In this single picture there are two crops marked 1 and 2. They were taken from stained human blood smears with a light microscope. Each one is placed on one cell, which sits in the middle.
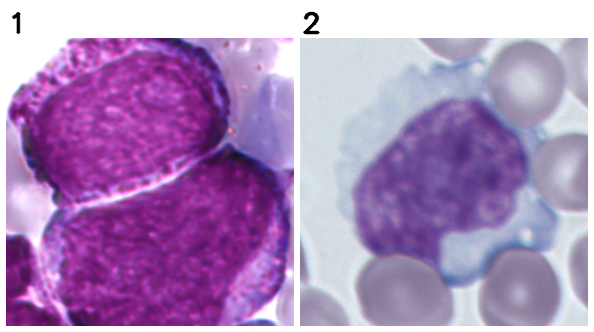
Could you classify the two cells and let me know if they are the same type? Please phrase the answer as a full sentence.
No, a promyelocyte is shown in crop 1 and a myeloblast in crop 2.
